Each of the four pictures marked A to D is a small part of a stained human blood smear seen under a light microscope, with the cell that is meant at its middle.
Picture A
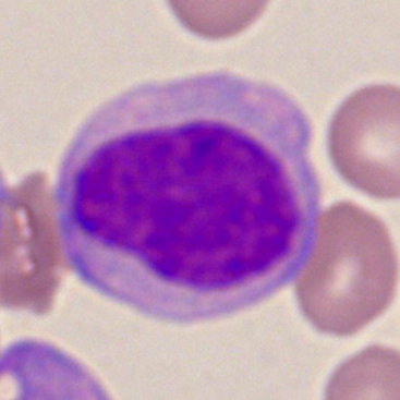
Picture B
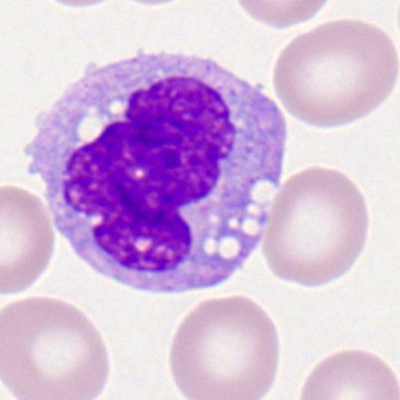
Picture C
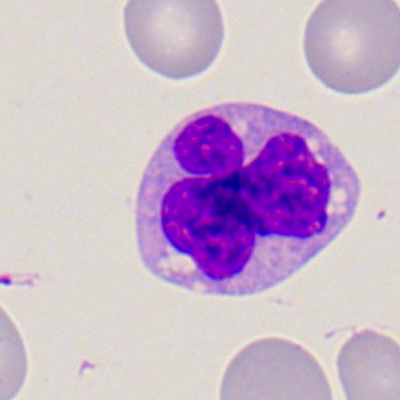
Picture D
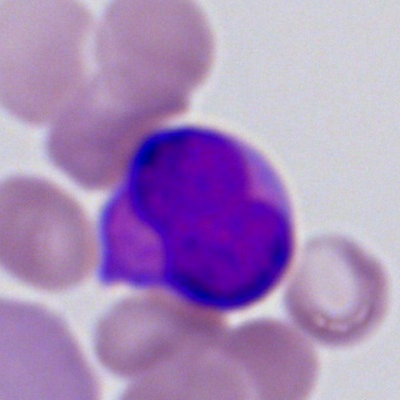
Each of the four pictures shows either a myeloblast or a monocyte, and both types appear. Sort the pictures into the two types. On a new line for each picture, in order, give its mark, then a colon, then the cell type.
A: monocyte
B: monocyte
C: monocyte
D: myeloblast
